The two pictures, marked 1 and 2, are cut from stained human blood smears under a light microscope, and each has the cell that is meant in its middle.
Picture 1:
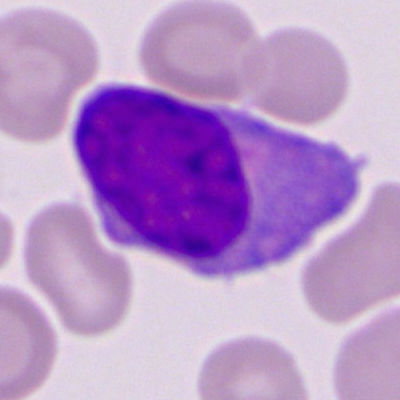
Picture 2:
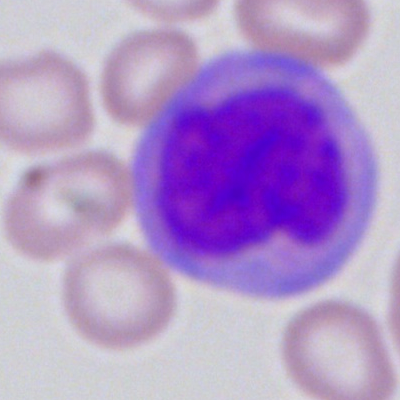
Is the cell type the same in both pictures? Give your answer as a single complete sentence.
No, they differ: the cell is a myeloblast in picture 1 and a monocyte in picture 2.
